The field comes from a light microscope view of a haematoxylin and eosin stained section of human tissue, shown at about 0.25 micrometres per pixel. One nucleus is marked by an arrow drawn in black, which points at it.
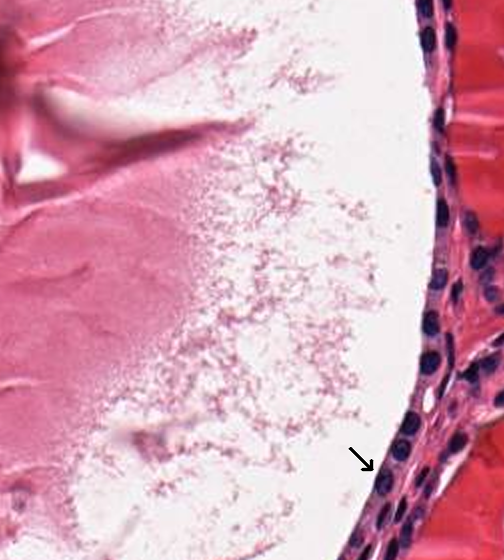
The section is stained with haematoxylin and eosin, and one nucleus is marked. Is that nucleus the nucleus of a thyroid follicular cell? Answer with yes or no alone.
yes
